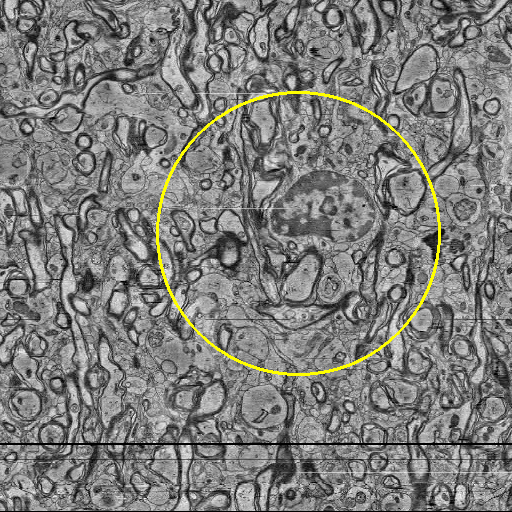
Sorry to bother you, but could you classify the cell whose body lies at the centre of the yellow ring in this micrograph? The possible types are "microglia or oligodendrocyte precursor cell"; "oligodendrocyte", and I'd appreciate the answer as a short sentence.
The ringed cell body is that of a microglial cell or oligodendrocyte precursor cell.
